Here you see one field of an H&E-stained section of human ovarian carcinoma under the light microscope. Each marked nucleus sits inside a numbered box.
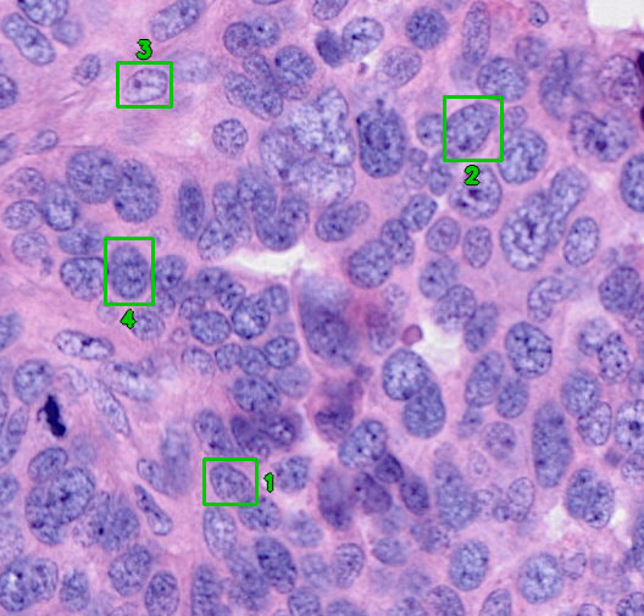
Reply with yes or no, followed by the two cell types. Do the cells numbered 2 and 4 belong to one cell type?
Yes: cells 2 and 4 are both carcinoma cells.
